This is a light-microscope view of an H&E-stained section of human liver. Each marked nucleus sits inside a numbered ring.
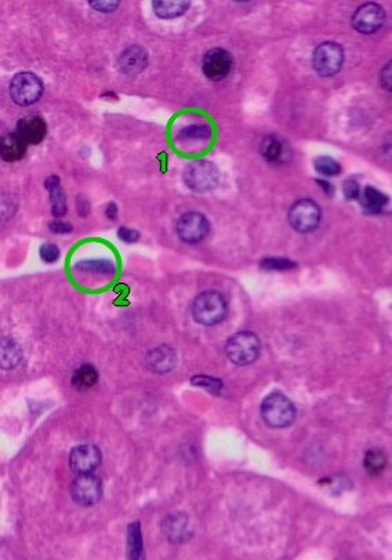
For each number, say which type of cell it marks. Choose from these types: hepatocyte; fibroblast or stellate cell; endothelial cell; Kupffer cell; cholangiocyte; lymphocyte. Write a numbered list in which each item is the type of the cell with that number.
1. fibroblast or stellate cell
2. endothelial cell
